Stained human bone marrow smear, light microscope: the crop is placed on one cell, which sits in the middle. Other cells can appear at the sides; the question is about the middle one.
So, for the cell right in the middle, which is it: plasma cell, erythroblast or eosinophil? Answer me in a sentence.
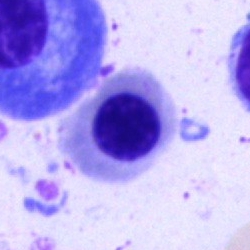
Whatever else lies nearby, the middle cell is an erythroblast.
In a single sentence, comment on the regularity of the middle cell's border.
Its periphery is smooth, and no projections arise from it.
